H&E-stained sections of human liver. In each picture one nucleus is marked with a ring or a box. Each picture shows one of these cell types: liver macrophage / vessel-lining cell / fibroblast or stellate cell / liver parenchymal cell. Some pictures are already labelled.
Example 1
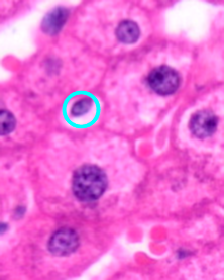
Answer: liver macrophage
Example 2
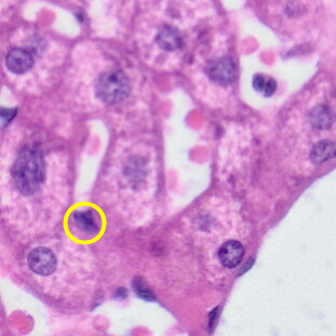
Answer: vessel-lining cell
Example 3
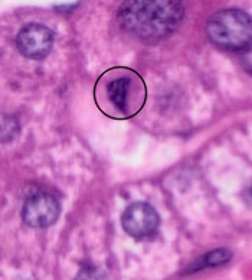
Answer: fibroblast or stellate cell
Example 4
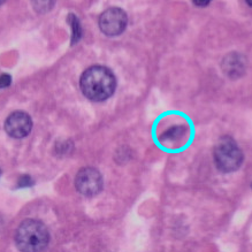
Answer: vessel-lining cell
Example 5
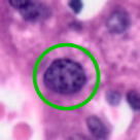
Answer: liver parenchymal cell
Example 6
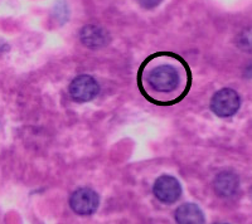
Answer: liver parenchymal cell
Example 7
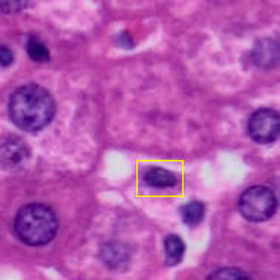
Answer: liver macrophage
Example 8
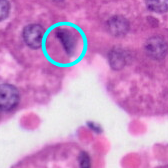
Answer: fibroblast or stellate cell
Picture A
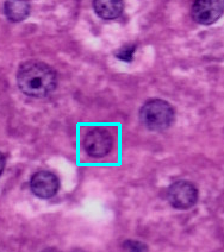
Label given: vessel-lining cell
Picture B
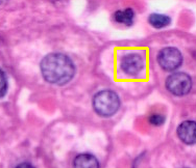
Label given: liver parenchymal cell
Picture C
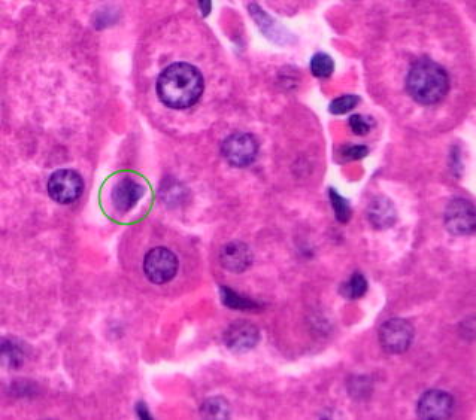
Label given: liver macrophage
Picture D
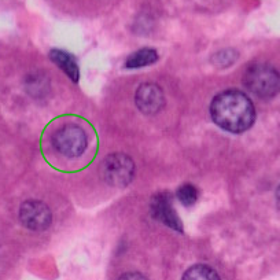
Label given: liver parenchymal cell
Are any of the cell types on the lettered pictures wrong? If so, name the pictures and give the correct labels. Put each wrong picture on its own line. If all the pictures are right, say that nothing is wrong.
A: liver parenchymal cell, not vessel-lining cell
